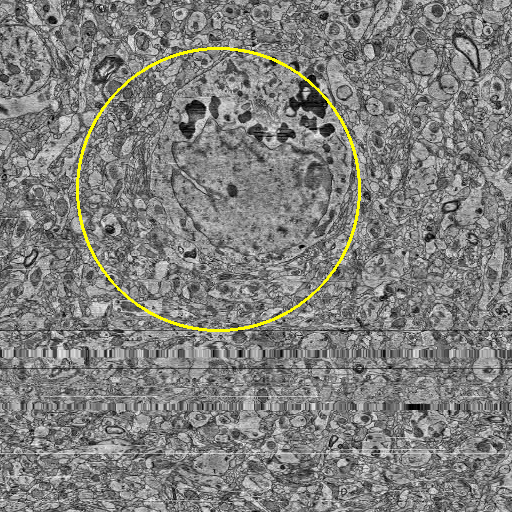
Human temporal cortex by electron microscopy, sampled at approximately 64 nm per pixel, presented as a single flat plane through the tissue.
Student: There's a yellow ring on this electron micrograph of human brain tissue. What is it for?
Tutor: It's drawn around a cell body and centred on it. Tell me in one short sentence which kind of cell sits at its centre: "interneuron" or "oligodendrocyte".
The cell at the centre of the ring is an interneuron.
